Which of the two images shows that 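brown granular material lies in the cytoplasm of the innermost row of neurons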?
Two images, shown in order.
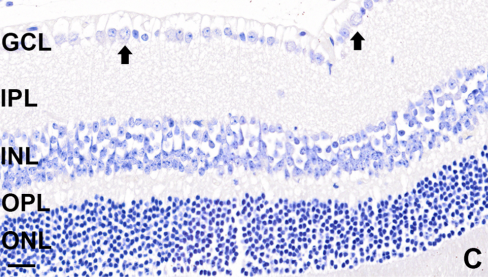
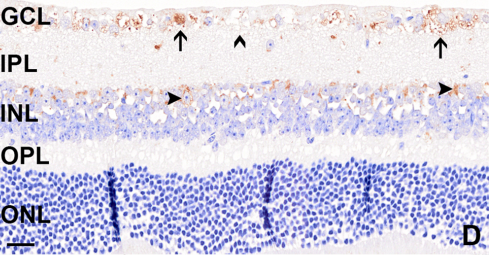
The second image.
